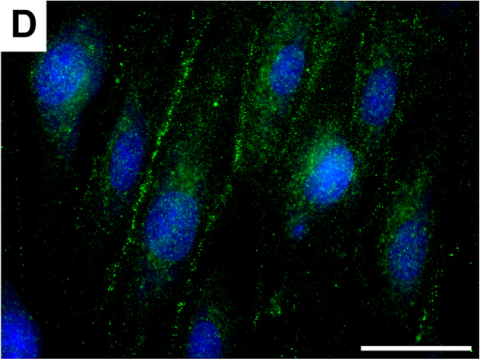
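Fine green dots are scattered through the cytoplasm and over the nuclei, with a diffuse green haze around the nuclei. In several places the green dots line up in thin streaks running along the long edges where neighbouring cells meet.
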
